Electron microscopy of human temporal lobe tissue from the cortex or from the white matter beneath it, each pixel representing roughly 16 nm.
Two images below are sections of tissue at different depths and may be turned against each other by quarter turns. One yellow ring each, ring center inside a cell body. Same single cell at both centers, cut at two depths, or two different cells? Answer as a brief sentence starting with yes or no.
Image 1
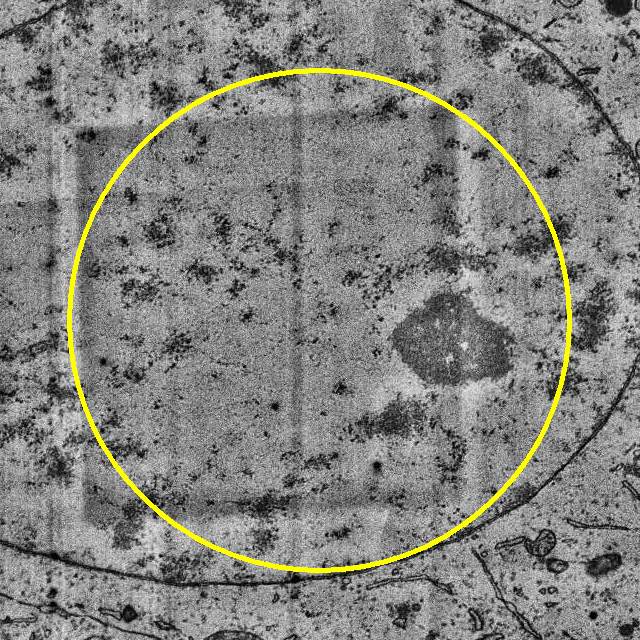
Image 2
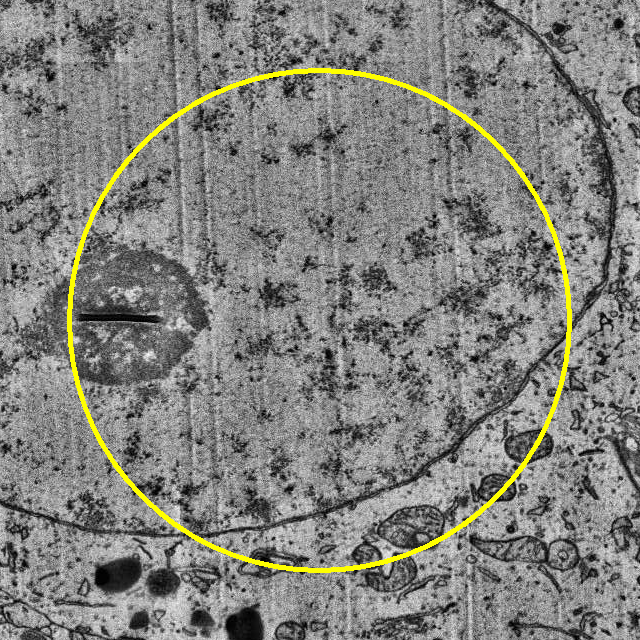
No, two different cells appear inside the two yellow rings.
